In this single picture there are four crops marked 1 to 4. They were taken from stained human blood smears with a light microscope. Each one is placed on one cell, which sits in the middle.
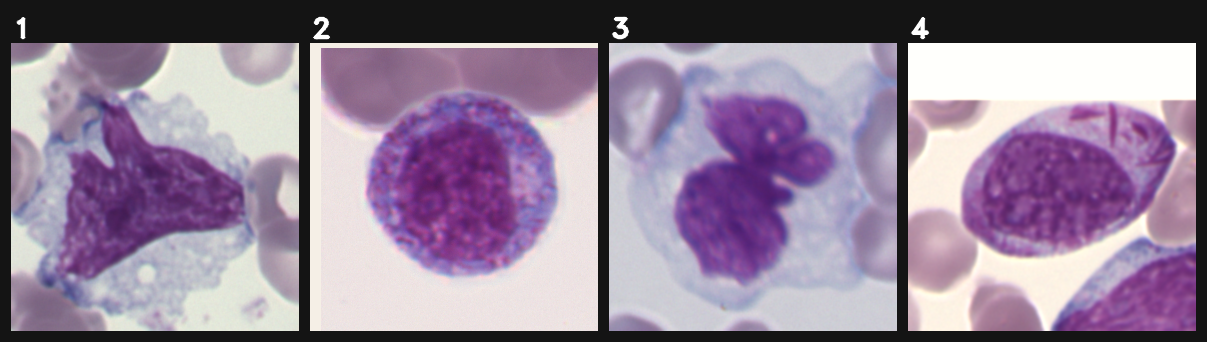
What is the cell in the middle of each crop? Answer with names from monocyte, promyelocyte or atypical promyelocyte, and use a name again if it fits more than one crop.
1: monocyte
2: promyelocyte
3: monocyte
4: atypical promyelocyte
